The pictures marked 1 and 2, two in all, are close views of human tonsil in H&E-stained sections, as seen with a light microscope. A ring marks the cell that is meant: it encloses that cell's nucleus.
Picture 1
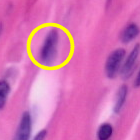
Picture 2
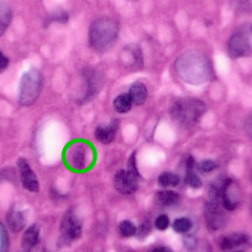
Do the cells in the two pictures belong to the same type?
no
